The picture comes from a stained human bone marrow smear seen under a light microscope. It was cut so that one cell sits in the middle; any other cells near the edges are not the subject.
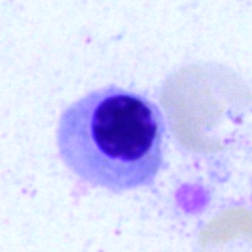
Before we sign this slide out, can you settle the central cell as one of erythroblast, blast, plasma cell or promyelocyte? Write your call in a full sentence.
The single cell at the center of the crop is an erythroblast.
